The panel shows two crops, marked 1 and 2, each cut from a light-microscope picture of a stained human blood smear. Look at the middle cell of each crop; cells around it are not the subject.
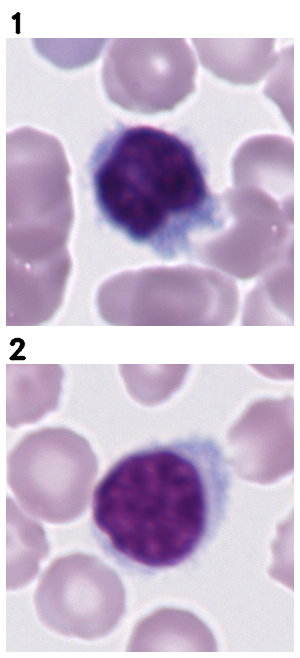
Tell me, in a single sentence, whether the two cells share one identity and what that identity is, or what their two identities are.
Yes, the middle cells in both crops are indeed hairy cells.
